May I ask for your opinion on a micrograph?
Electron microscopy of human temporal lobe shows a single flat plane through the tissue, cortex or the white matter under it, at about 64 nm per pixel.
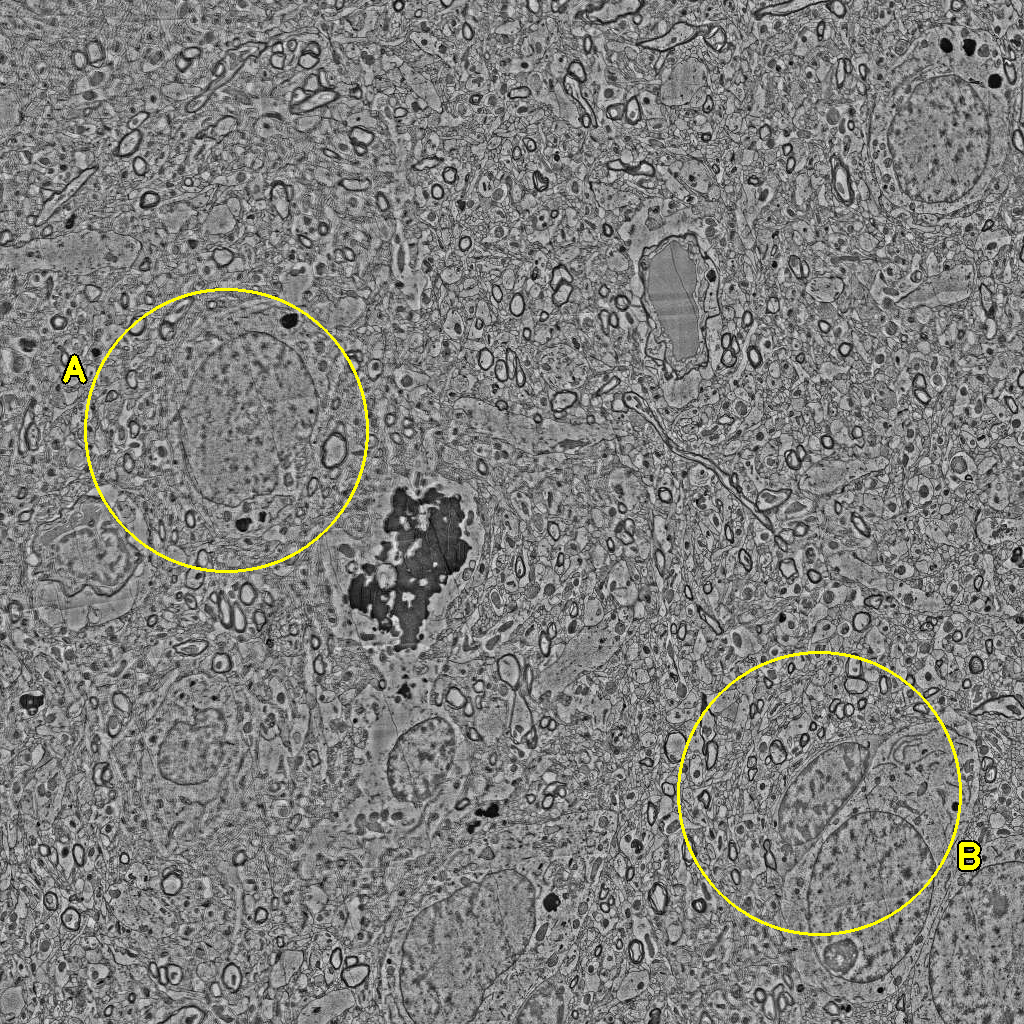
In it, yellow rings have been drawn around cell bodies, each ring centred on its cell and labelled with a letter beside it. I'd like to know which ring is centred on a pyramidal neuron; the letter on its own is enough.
A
